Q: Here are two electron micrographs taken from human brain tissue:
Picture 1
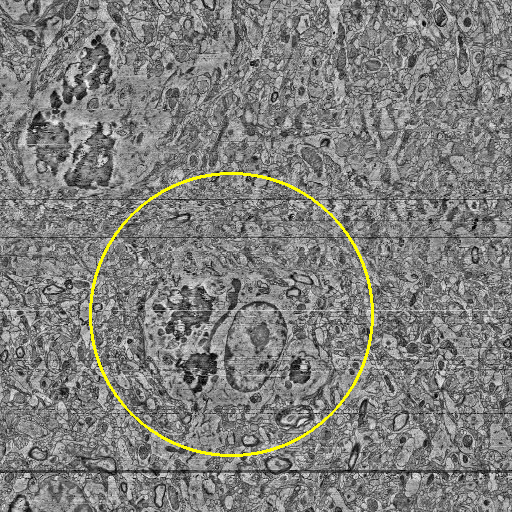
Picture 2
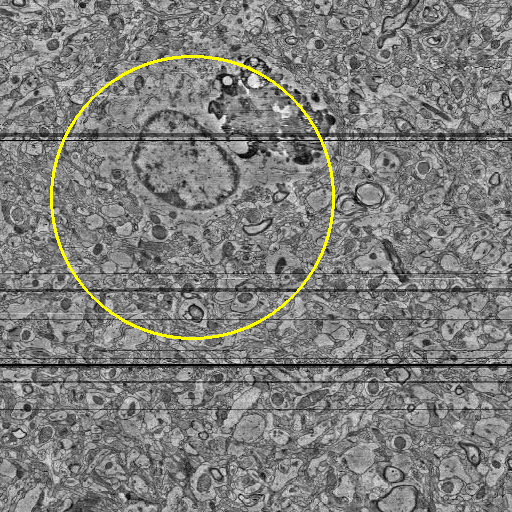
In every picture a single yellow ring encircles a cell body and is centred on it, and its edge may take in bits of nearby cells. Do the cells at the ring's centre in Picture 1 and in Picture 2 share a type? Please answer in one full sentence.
Yes, the cells at the ring's centre in Picture 1 and Picture 2 share a type.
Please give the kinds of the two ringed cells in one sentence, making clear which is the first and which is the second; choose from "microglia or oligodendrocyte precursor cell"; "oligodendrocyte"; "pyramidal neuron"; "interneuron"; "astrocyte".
The first and the second cell are each an astrocyte.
